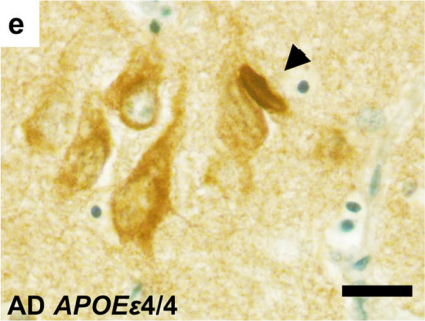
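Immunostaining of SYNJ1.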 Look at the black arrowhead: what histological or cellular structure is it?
Hirano bodies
